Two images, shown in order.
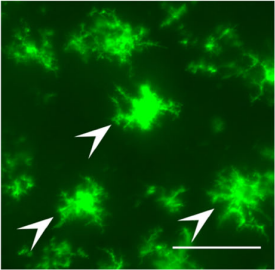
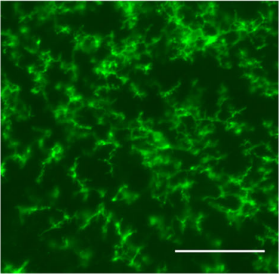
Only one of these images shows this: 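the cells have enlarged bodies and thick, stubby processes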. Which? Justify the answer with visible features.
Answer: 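First image: green cells with large bright bodies and short thick processes. Second image: green cells with small bodies and long thin branching processes.
The first image.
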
